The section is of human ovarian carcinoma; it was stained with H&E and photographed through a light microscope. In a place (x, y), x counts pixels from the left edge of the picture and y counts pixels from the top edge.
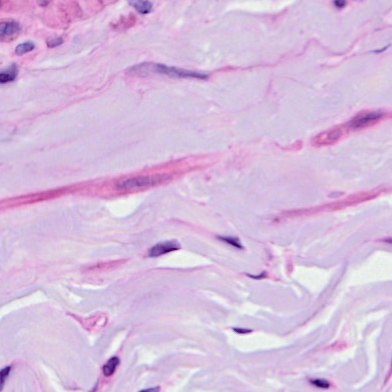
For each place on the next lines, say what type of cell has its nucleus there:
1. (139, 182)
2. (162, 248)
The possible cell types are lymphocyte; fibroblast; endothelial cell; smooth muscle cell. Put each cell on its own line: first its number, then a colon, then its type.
1: smooth muscle cell
2: fibroblast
